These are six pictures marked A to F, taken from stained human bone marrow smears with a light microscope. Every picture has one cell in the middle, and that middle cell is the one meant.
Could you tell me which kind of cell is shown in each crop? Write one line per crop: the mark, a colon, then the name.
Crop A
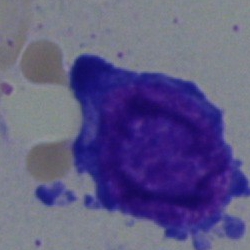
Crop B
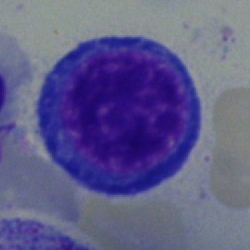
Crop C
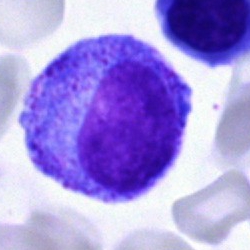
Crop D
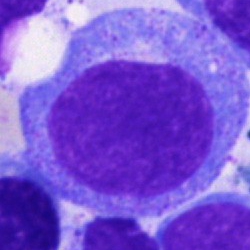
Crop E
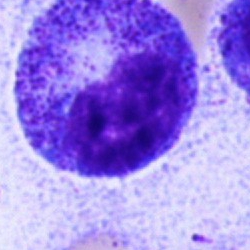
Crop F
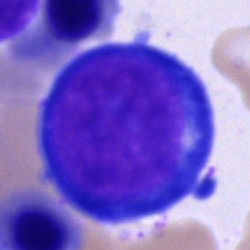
A: proerythroblast
B: proerythroblast
C: promyelocyte
D: promyelocyte
E: promyelocyte
F: proerythroblast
